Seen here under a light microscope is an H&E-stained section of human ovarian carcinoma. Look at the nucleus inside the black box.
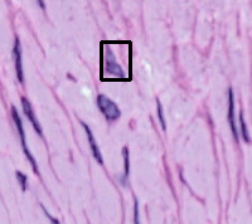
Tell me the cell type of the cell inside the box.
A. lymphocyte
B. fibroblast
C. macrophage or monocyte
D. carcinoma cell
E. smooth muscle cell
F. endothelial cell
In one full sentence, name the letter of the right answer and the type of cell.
Under option B, the cell inside the box is a fibroblast, which is the correct identification.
